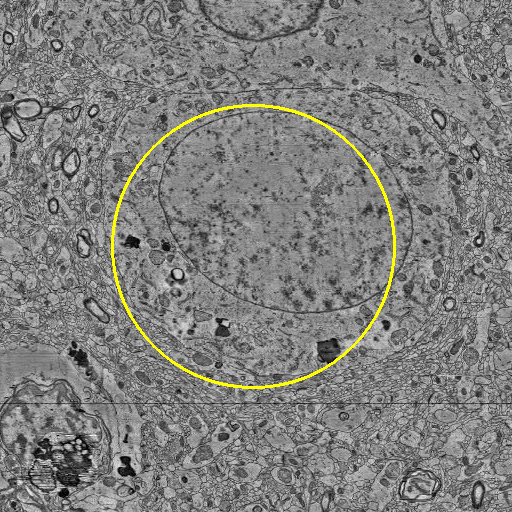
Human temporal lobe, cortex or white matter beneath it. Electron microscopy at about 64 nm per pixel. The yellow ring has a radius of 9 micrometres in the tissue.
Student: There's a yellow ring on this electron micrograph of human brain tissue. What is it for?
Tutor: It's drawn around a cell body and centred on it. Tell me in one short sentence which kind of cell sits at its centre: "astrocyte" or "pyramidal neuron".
The cell at the centre of the ring is a pyramidal neuron.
